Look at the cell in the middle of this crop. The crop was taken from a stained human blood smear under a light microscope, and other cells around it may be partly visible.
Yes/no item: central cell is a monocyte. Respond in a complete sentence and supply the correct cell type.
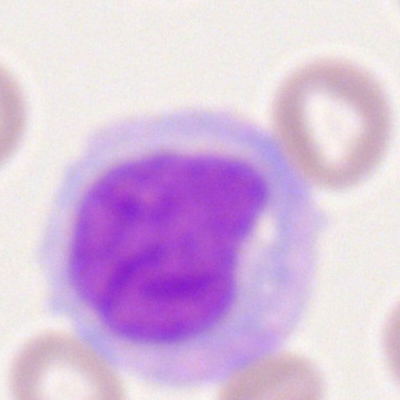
Yes, the cell of interest in the centre is a monocyte.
